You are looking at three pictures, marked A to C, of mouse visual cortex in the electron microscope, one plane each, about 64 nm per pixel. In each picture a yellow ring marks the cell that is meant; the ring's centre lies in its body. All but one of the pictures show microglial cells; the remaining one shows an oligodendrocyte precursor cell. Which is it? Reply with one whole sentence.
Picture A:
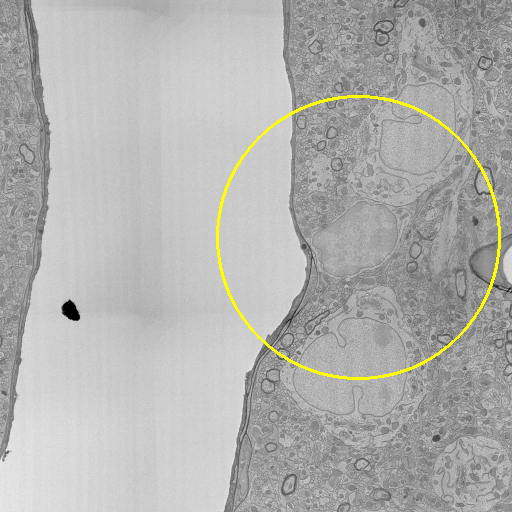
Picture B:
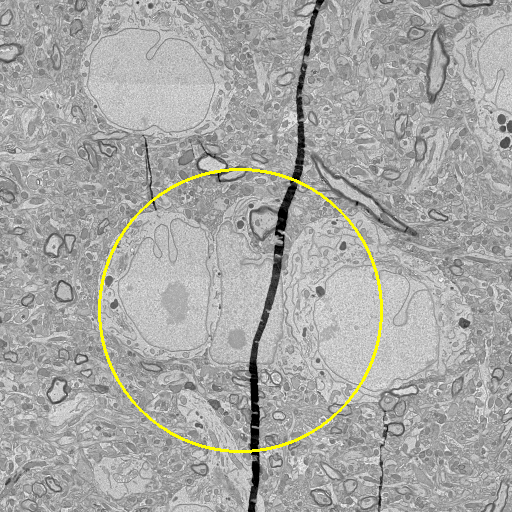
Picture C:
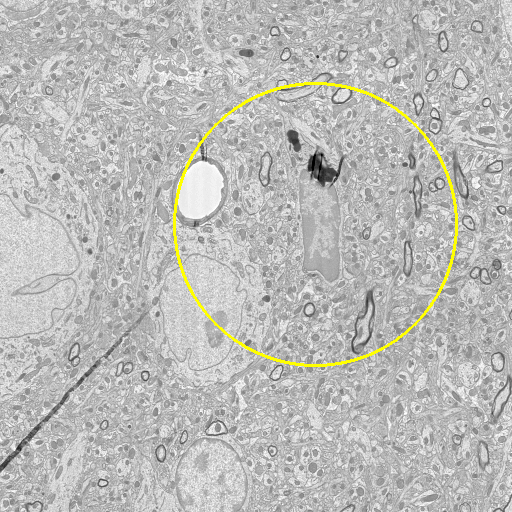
The cell in picture B is the oligodendrocyte precursor cell.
